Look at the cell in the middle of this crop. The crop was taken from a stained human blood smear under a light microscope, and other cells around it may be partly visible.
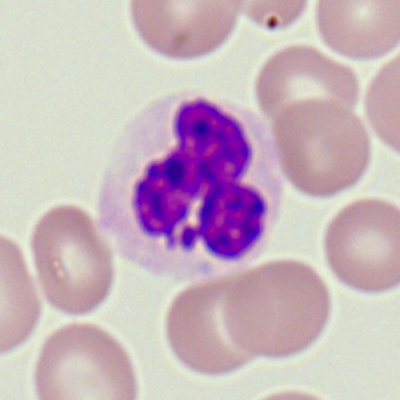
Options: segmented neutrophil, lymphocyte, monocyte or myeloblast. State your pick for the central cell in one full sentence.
The middle of this crop holds a segmented neutrophil.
